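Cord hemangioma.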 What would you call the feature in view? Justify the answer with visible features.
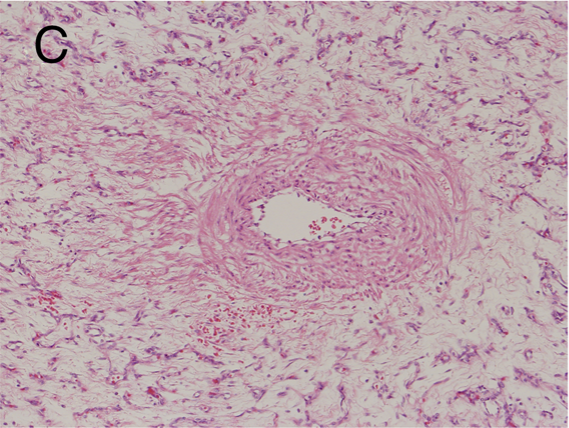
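A single large vessel in the centre with a thick, concentrically layered muscular wall. It is surrounded by loose stroma with small thin-walled channels.
Hence: umbilical artery.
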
